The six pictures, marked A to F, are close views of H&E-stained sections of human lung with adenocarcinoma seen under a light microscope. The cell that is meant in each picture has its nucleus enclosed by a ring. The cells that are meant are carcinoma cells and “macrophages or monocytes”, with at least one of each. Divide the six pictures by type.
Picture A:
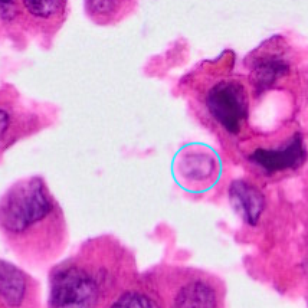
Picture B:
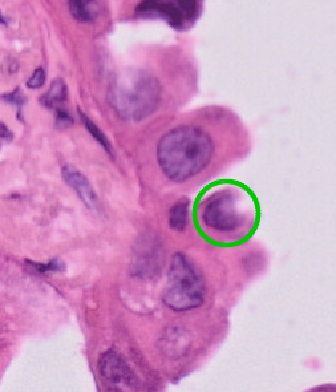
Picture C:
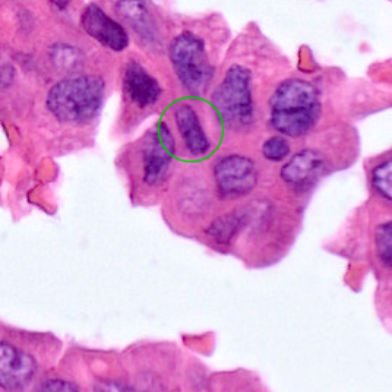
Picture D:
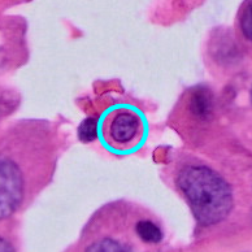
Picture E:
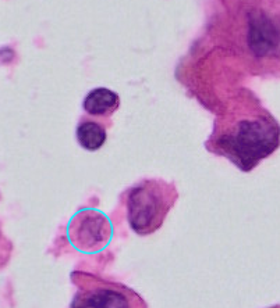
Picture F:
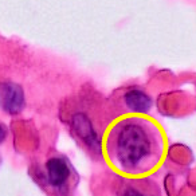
A: macrophage or monocyte
B: carcinoma cell
C: carcinoma cell
D: macrophage or monocyte
E: macrophage or monocyte
F: macrophage or monocyte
